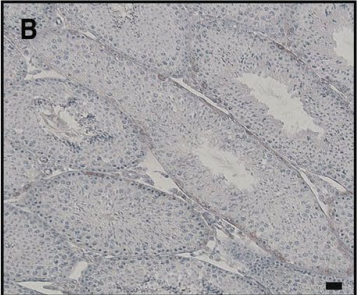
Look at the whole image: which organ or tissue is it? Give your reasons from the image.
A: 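Seminiferous tubules. Closely packed tubular profiles cut in cross and oblique section. Stratified cellular epithelium surrounding lumina, some containing pale fibrillar material. Narrow interstitial spaces between tubules.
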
